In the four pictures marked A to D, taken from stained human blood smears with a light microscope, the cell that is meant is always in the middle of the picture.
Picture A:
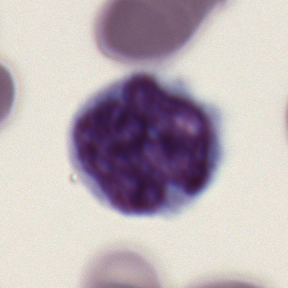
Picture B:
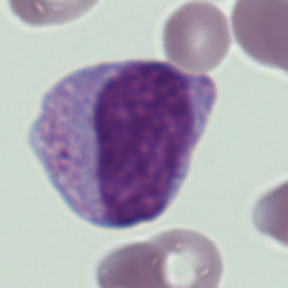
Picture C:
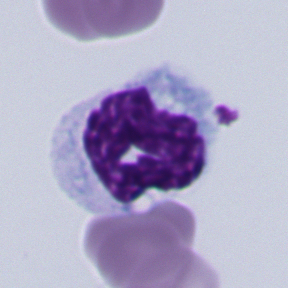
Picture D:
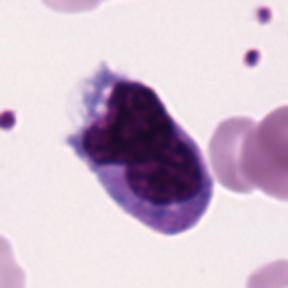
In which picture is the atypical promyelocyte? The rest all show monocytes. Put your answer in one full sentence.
Picture B is the one that shows the atypical promyelocyte.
